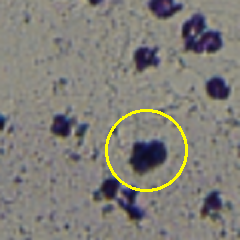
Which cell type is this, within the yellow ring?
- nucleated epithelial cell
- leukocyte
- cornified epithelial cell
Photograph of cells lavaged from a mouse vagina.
Within the ring is a leukocyte.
